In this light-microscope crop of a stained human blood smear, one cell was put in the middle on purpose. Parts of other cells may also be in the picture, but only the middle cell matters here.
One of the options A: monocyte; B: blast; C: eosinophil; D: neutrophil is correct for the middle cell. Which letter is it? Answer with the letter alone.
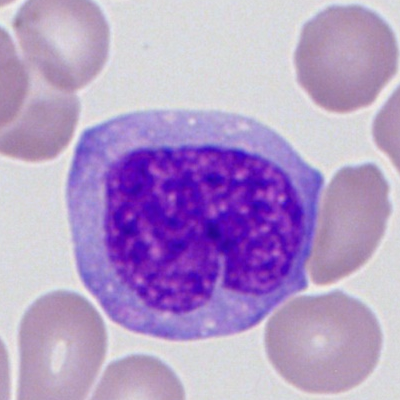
A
